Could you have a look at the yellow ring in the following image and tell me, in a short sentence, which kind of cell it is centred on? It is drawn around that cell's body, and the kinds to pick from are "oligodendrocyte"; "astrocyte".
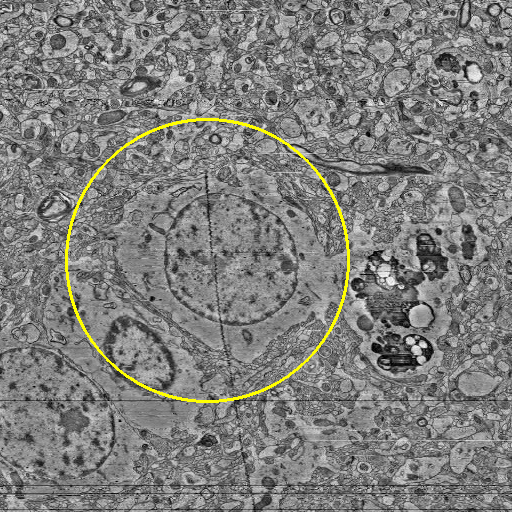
The ring is centred on the body of an astrocyte.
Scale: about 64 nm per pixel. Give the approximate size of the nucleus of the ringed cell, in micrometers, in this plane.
About 9 micrometres across in this plane, for the nucleus.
